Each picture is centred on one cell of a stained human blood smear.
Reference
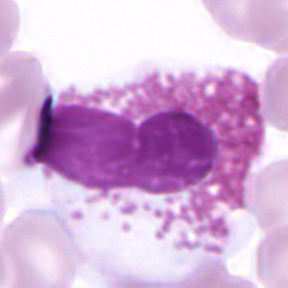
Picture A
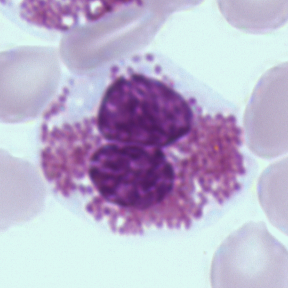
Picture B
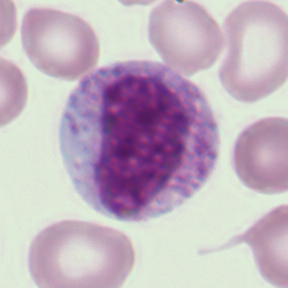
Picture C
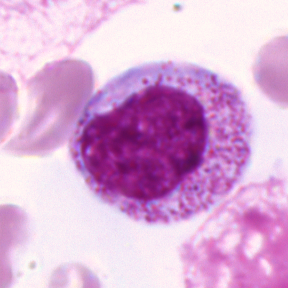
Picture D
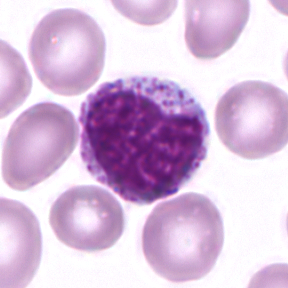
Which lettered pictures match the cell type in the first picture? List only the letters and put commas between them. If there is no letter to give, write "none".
A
